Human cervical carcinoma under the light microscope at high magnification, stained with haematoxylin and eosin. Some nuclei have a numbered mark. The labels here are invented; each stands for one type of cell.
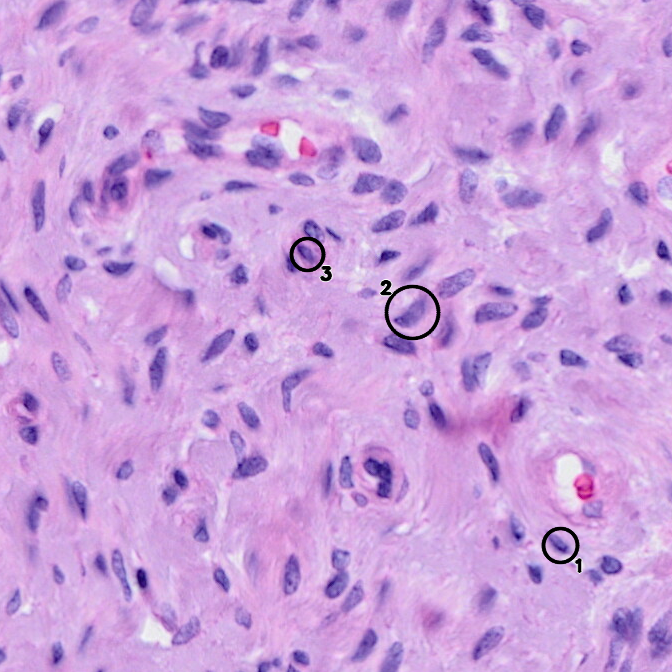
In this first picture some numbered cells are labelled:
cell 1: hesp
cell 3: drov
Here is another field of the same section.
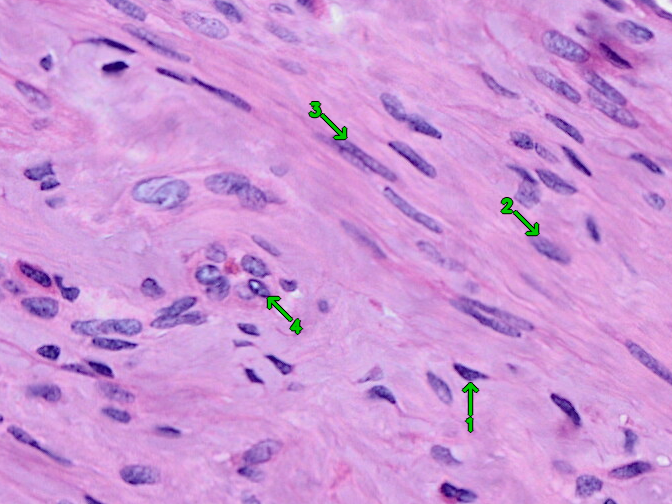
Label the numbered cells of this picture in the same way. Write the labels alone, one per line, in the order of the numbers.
hesp
hesp
hesp
drov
